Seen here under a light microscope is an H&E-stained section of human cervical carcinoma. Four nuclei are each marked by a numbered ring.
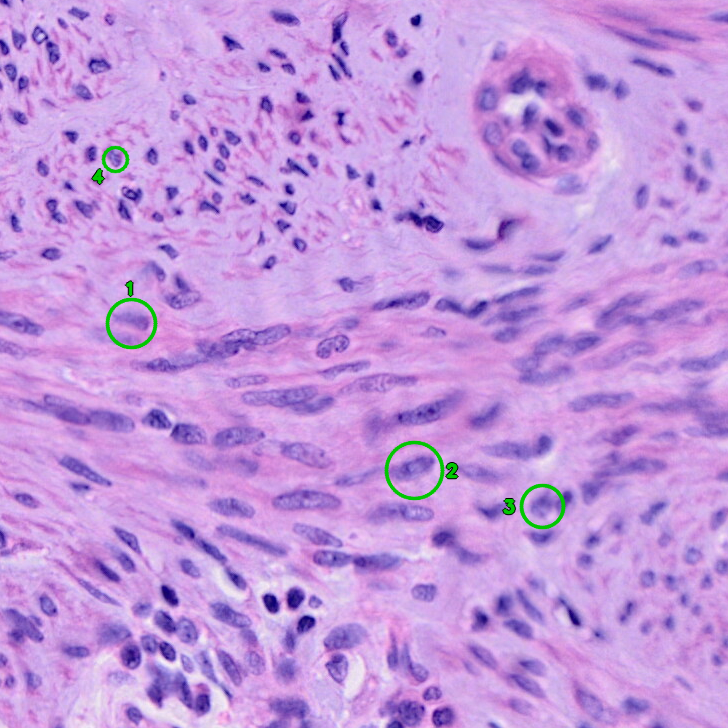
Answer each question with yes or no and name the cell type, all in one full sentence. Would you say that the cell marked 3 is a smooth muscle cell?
No, cell 3 is identified not as a smooth muscle cell but as a fibroblast.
